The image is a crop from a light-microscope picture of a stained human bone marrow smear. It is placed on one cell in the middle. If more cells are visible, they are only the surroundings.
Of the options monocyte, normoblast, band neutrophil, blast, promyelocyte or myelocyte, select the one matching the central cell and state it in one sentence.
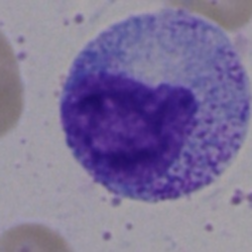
The cell shown in the center of this light-microscope crop is a myelocyte.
